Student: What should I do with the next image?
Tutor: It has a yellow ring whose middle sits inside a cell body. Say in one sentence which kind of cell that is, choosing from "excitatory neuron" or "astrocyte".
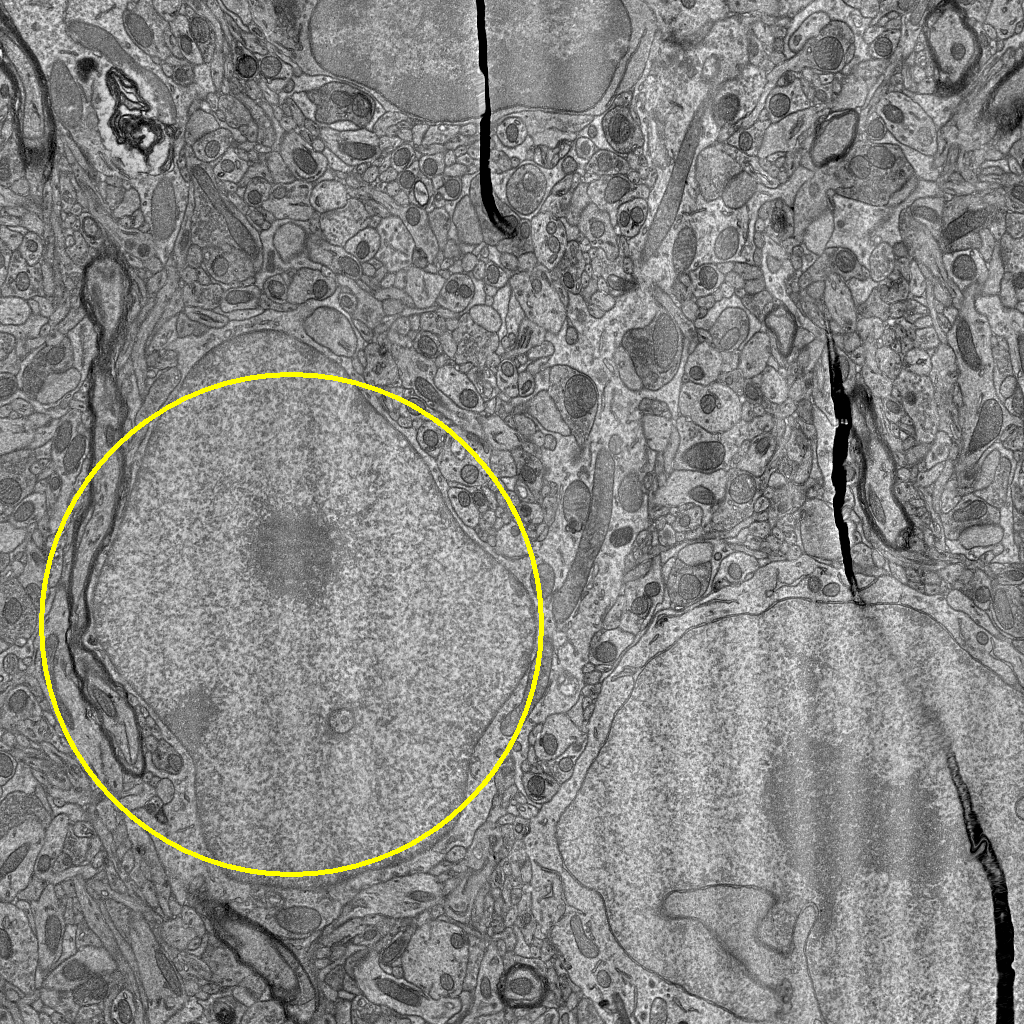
The ring's centre is occupied by an astrocyte.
